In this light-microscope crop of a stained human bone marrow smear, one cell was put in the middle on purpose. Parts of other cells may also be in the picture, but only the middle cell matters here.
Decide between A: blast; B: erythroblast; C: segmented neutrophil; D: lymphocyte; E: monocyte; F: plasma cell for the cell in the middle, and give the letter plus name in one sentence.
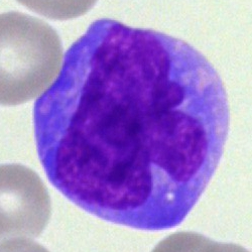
Option E is right, the centrally situated cell being a monocyte.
